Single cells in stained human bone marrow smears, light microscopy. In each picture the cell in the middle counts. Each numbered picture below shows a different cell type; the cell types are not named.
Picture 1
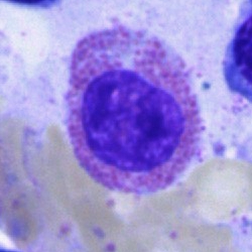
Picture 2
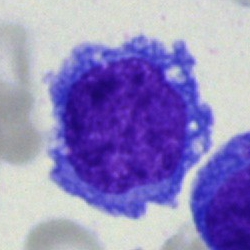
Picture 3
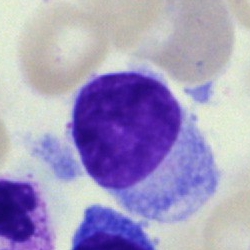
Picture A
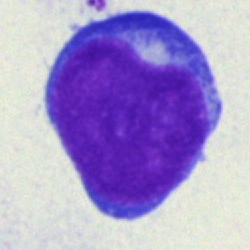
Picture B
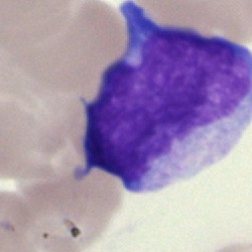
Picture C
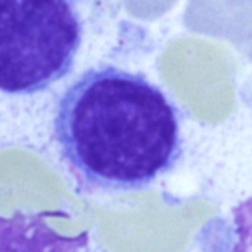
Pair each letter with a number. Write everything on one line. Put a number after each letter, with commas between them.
A 2, B 2, C 3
